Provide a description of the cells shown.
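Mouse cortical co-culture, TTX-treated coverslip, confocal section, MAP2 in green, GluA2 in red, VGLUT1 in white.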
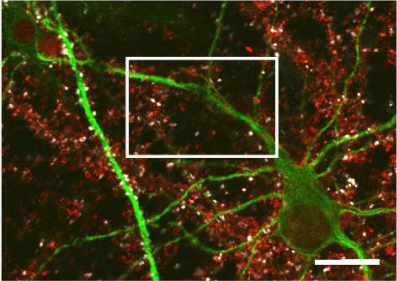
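A long bright green dendrite from another cell runs down the left side. Fine green processes spread in many directions. The space between them is densely packed with small red and white puncta, some sitting along the dendrites. A white rectangle frames a length of the primary dendrite near where it leaves the cell body.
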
